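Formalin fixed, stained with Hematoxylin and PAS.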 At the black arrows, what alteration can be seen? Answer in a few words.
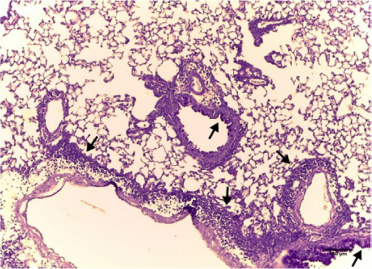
Goblet cell hyperplasia and infiltration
